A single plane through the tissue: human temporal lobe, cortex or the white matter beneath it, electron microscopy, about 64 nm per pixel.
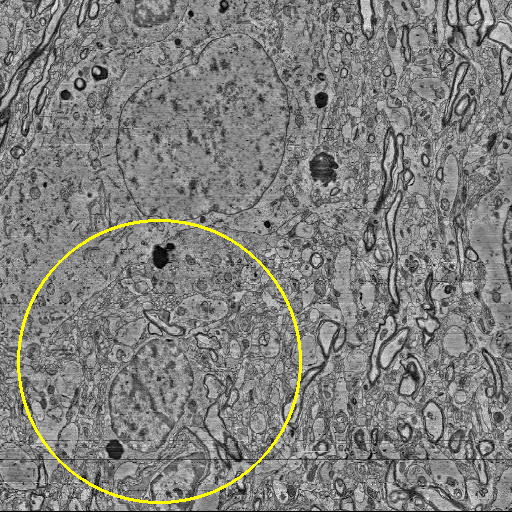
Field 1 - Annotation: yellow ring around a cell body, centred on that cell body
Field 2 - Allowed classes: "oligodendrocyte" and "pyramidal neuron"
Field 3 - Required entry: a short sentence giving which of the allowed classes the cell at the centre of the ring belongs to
The centred cell is an oligodendrocyte.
